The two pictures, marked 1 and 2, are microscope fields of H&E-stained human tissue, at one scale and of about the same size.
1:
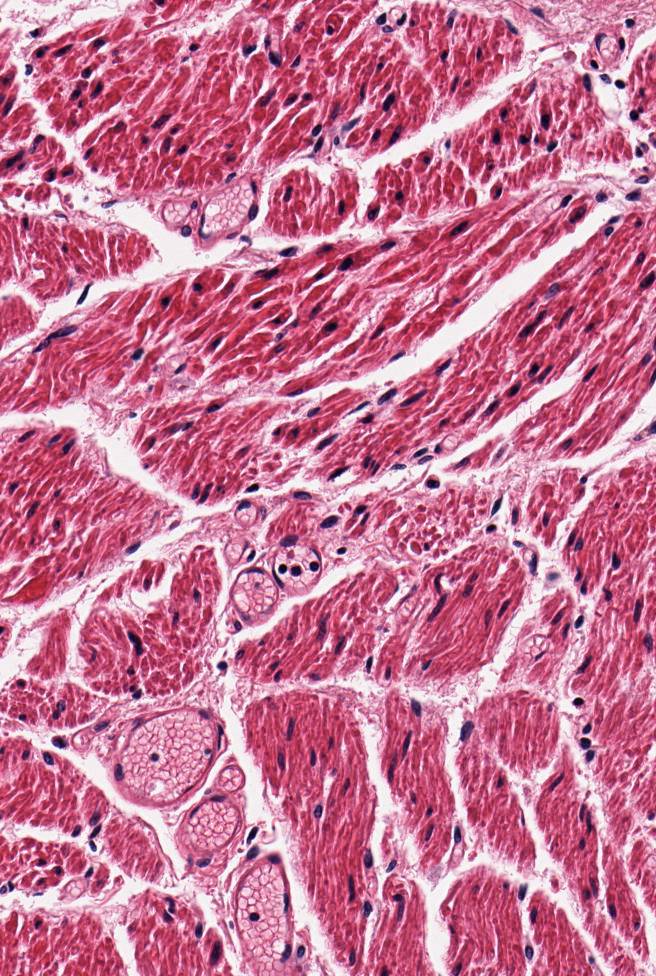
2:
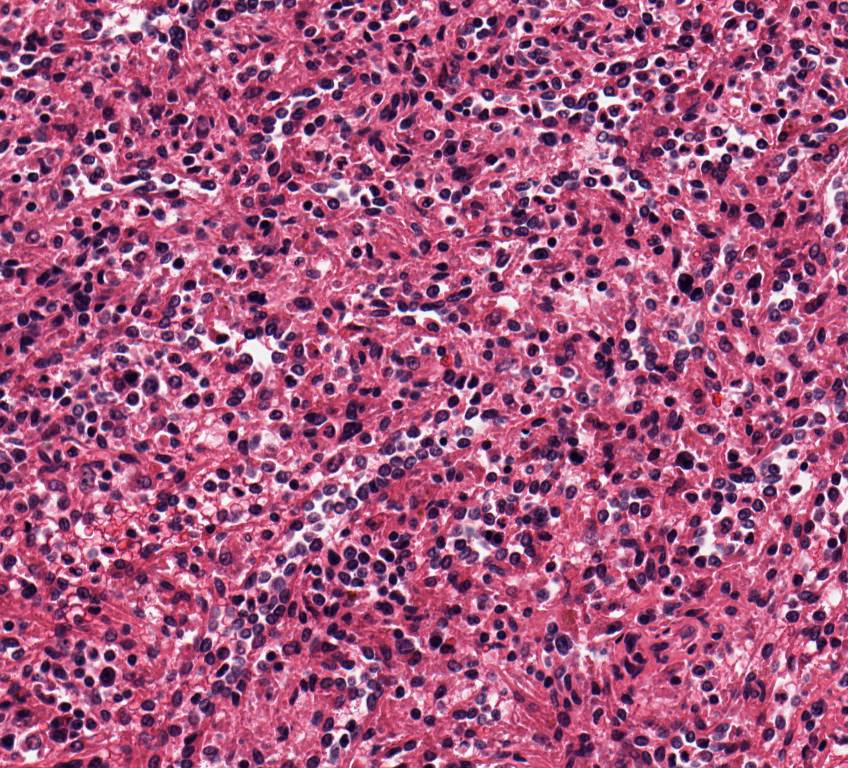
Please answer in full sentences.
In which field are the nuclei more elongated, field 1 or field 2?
On the whole the nuclei of field 1 are more drawn out than those of field 2.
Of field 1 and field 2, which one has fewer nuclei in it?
Fewer nuclei lie in field 1 than in field 2.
